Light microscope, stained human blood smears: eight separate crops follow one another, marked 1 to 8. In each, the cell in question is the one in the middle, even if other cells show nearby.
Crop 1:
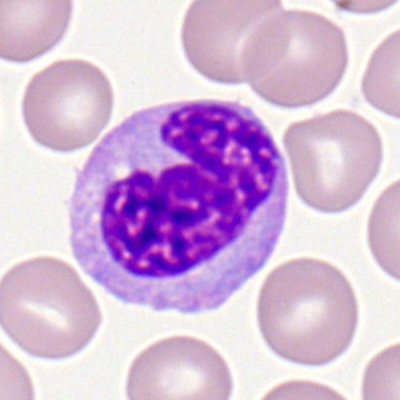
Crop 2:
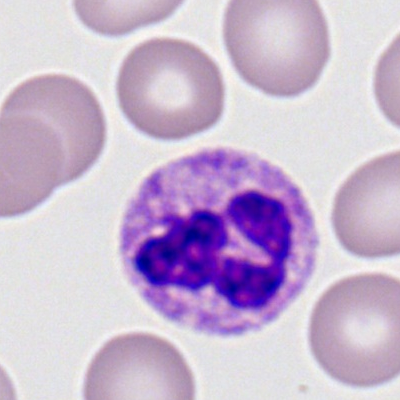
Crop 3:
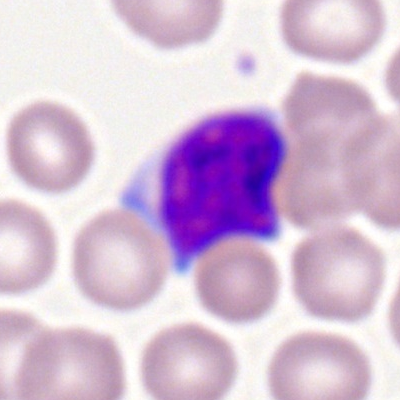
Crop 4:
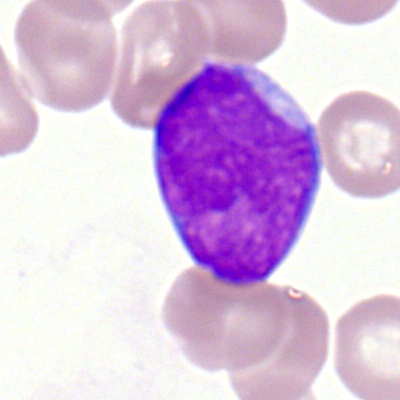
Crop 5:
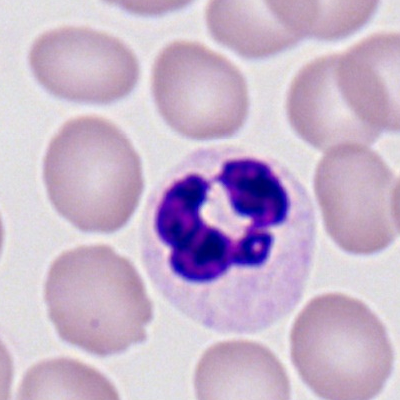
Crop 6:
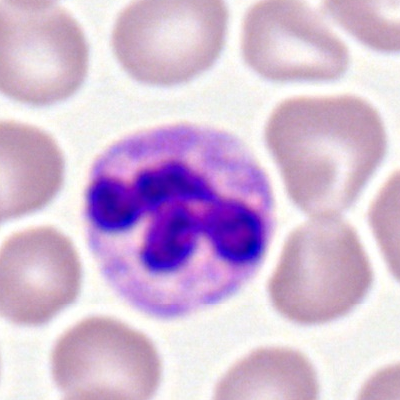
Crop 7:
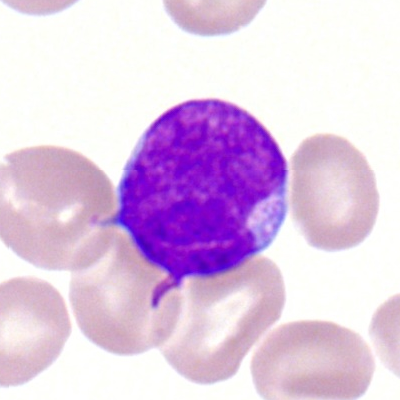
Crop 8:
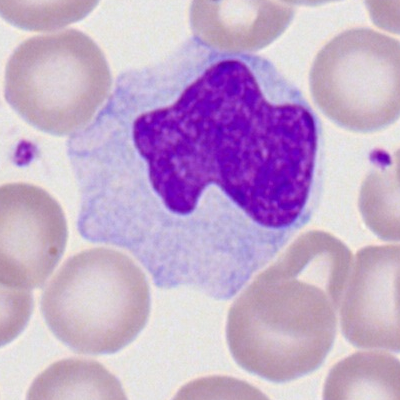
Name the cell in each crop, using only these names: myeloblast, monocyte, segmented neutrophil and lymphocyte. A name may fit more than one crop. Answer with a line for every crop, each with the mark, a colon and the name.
1: monocyte
2: segmented neutrophil
3: lymphocyte
4: myeloblast
5: segmented neutrophil
6: segmented neutrophil
7: myeloblast
8: monocyte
